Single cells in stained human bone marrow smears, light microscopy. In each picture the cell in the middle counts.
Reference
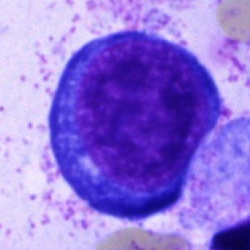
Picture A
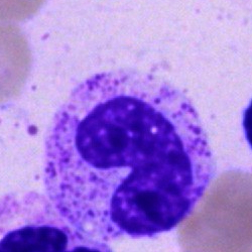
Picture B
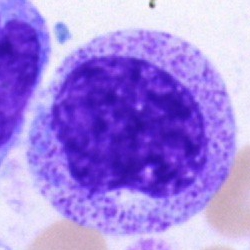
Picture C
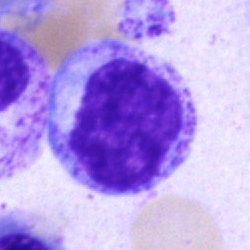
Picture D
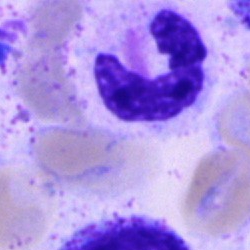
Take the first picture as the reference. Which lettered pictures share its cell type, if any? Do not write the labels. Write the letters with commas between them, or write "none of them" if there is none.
none of them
